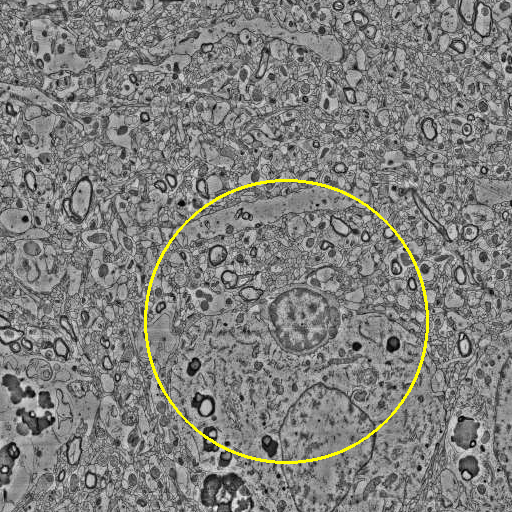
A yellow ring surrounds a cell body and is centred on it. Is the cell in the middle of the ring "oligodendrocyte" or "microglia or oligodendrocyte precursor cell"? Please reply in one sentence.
The ring is centred on an oligodendrocyte.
